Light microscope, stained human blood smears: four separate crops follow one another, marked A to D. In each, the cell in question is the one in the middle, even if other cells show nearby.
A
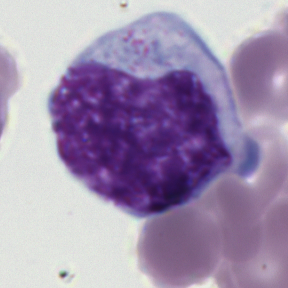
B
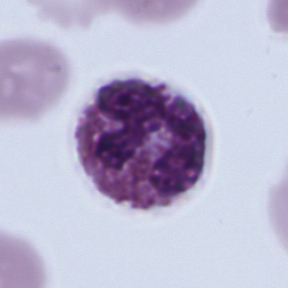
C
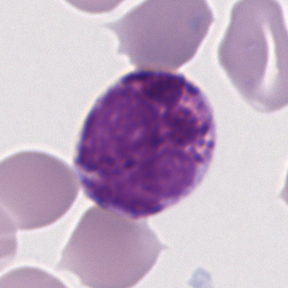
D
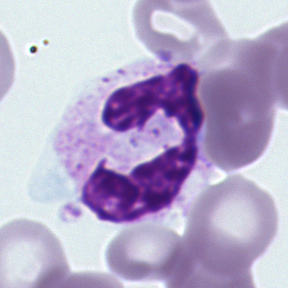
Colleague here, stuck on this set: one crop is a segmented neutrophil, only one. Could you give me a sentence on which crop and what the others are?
Crop D presents a segmented neutrophil at its centre, whereas crop A is a promyelocyte, crop B is an eosinophil and crop C is a basophil.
